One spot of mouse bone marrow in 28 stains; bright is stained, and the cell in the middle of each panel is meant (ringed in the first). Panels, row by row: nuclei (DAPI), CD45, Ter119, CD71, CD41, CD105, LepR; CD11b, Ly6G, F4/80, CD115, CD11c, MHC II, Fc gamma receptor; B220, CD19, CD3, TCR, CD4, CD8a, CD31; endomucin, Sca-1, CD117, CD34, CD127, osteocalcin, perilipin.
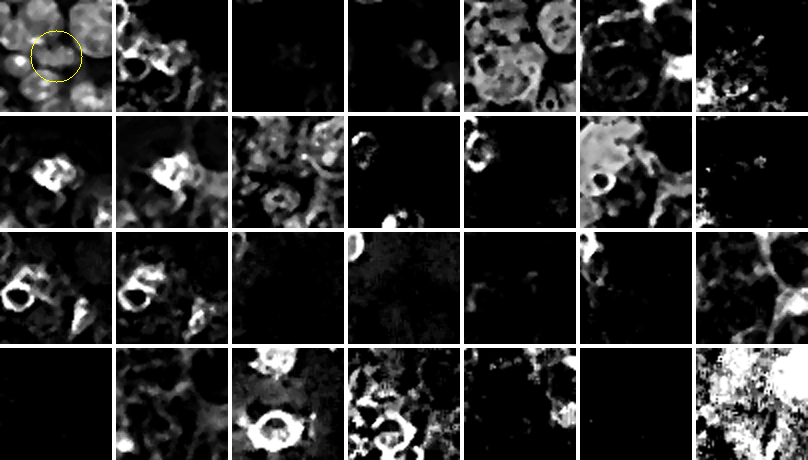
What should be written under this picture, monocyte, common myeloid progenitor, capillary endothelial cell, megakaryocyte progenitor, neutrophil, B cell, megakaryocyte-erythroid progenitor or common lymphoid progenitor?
megakaryocyte progenitor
